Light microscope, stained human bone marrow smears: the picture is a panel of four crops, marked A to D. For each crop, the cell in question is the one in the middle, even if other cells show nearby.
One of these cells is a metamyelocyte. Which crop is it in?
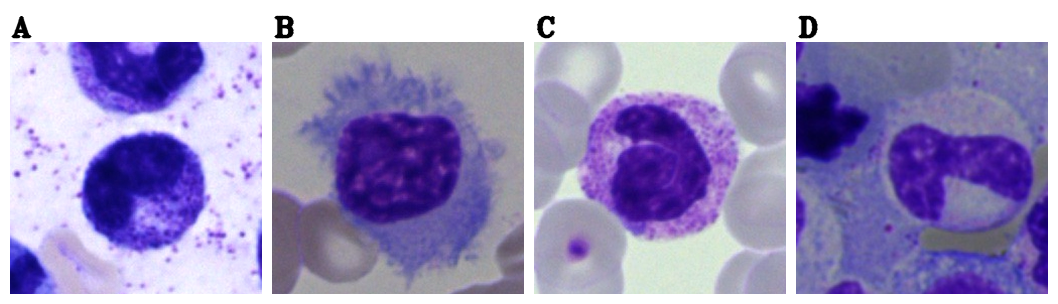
A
